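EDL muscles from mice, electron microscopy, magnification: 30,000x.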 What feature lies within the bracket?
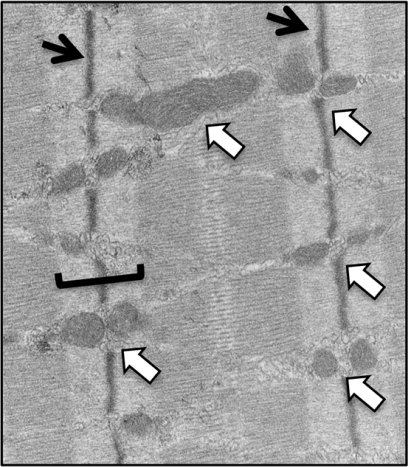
I-bands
